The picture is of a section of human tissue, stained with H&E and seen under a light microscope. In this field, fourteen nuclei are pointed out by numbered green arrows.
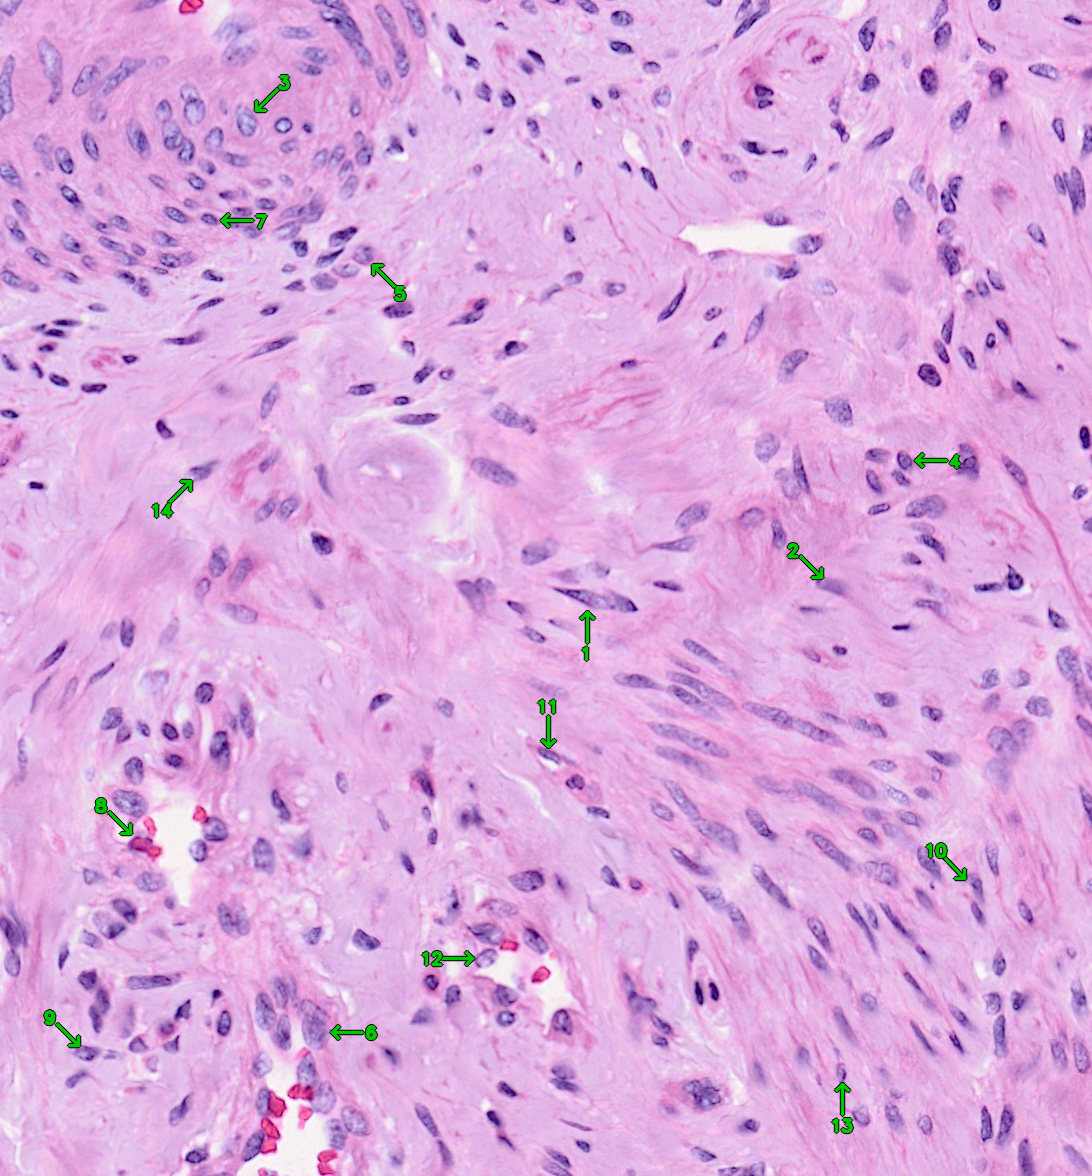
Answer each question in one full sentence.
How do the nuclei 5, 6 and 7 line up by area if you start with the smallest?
By area, going up from the smallest, they rank 7, 5, 6.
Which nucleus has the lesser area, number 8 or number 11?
The smaller nucleus is 11, and 8 covers roughly 2 times its area.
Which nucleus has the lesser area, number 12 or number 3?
It is nucleus 12; nucleus 3 has about 1.5 times its area.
